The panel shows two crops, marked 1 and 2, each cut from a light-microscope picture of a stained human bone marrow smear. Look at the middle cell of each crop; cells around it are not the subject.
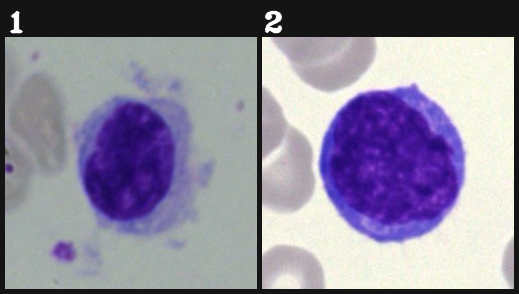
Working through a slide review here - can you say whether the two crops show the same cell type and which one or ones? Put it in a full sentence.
No, a hairy cell is in crop 1, and a blast is in crop 2.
